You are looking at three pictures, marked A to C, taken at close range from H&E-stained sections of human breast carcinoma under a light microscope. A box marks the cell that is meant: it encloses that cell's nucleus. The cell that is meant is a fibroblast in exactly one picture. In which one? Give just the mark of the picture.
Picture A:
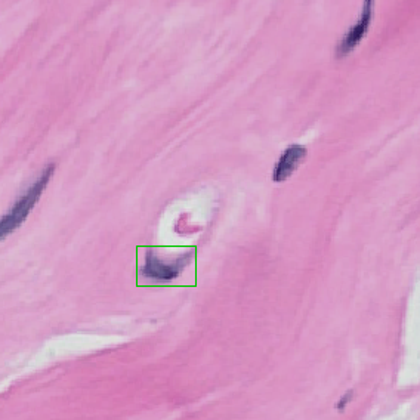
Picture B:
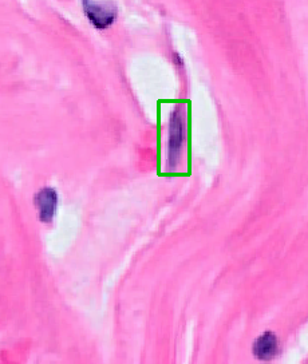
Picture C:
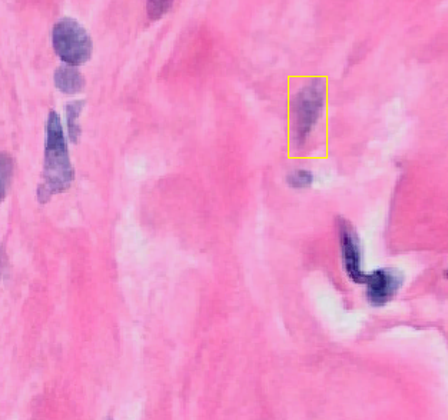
C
